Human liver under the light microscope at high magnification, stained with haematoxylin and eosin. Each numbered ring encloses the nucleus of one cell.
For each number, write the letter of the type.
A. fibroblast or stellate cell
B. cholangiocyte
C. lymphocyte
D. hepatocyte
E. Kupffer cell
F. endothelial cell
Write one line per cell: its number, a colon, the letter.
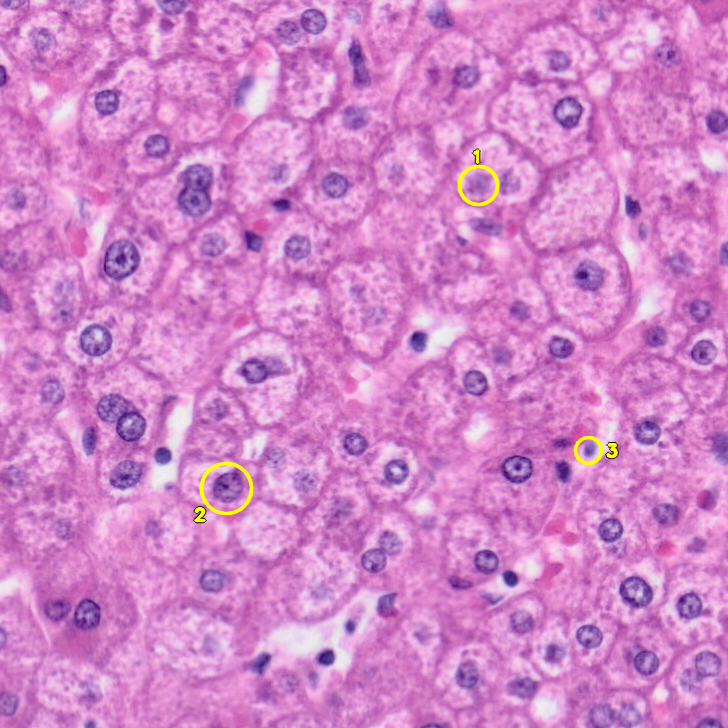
1: D
2: D
3: C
